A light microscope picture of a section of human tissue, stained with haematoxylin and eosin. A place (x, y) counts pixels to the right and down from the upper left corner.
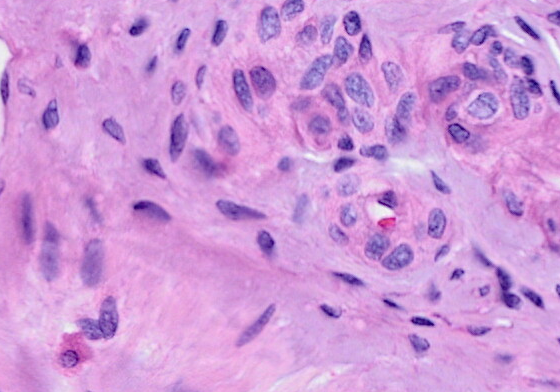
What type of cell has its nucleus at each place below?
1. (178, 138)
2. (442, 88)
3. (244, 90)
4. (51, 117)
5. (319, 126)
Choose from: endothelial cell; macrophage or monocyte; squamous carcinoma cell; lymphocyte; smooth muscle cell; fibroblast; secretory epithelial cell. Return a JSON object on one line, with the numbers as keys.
{"1": "fibroblast", "2": "smooth muscle cell", "3": "smooth muscle cell", "4": "fibroblast", "5": "smooth muscle cell"}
